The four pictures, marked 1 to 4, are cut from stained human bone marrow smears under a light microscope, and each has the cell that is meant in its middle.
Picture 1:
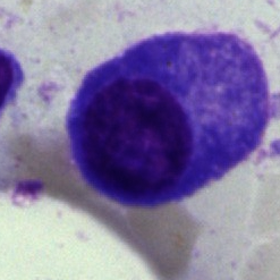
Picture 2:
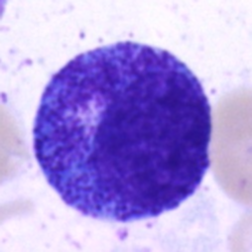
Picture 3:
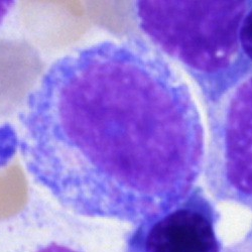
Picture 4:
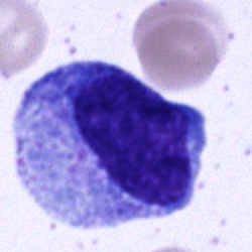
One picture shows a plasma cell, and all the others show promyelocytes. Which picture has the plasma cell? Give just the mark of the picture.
1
